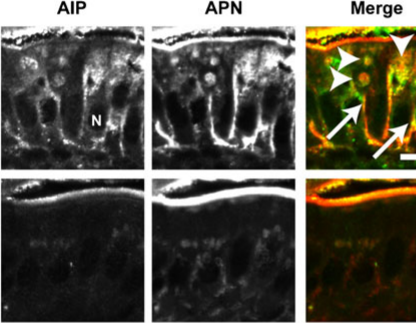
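A row of tall columnar epithelial cells stands side by side, each with a dark oval nucleus in its lower half and a bright line along the apical surface at the top. In the upper row, the label is not confined to that apical line: round hollow rings sit in the cytoplasm above the nuclei, and bright lines also outline the lateral borders of the cells down toward their bases. In the lower row, the label is almost entirely a strong apical band, with only faint dots in the cytoplasm.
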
